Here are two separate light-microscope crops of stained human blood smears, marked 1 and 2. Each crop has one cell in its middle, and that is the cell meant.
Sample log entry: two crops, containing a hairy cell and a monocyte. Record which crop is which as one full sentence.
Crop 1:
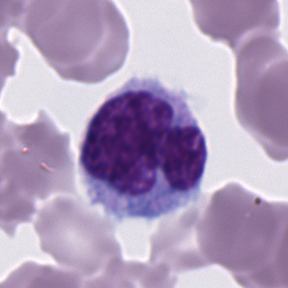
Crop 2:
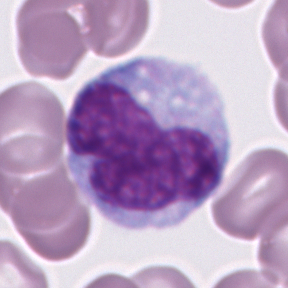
Crop 1 should be reported as a hairy cell, and crop 2 as a monocyte.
